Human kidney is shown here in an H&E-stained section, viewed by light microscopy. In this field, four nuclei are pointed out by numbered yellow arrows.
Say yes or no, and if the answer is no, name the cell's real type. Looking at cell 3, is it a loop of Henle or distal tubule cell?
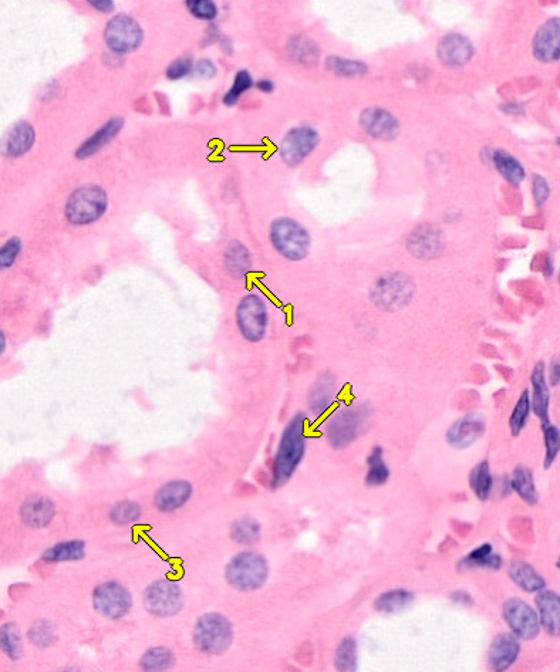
No, it is a proximal tubule cell.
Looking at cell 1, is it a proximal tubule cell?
Yes.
